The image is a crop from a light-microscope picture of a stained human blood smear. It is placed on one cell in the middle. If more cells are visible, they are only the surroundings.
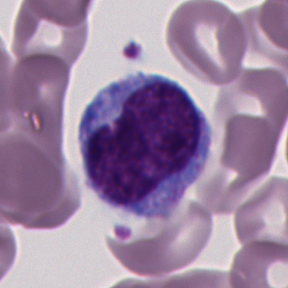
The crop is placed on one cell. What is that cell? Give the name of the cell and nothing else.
monocyte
